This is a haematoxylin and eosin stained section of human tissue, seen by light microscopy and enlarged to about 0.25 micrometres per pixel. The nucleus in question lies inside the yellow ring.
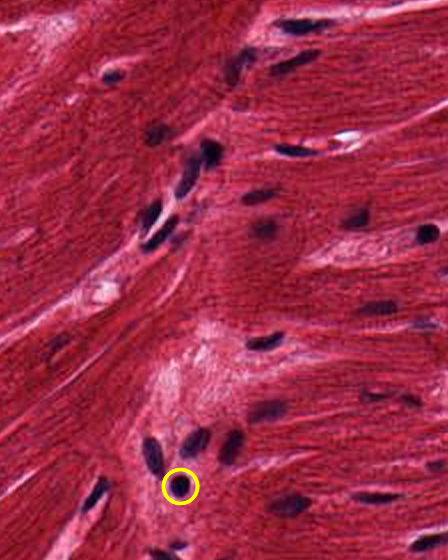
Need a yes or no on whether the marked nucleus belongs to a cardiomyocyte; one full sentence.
No, the marked nucleus has its place in a supporting cell rather than in a cardiomyocyte.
